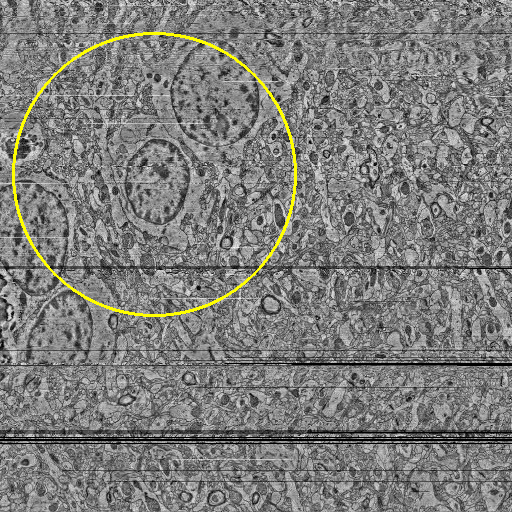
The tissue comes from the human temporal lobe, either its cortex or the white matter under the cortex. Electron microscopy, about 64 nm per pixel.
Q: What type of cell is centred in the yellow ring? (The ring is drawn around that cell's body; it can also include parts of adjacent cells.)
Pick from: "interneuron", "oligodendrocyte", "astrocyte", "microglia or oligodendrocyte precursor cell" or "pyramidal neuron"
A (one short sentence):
The yellow ring is centred on an astrocyte.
